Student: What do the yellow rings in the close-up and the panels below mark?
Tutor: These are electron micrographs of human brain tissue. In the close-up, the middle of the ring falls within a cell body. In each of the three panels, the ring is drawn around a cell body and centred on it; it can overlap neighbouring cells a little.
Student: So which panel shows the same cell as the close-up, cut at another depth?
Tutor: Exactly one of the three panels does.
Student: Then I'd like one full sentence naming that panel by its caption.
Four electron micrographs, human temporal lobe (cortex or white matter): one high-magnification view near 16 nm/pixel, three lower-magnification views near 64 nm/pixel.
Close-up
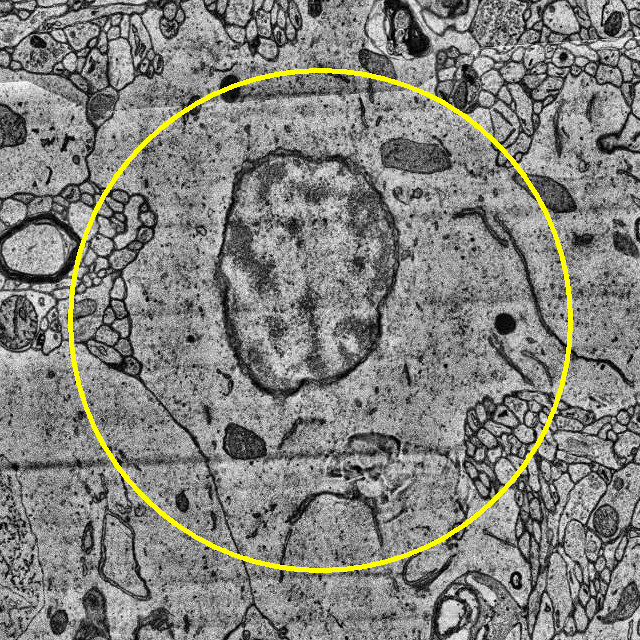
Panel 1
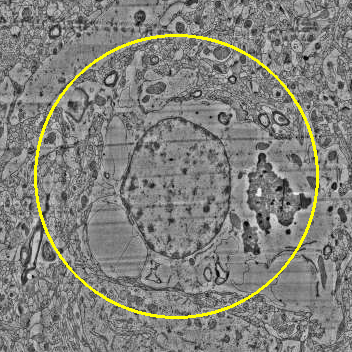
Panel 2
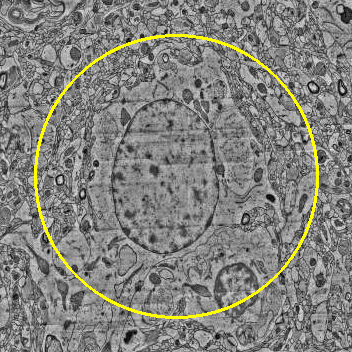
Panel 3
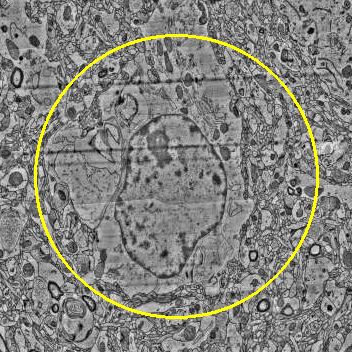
The close-up image matches the cell inside the ring of Panel 2.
